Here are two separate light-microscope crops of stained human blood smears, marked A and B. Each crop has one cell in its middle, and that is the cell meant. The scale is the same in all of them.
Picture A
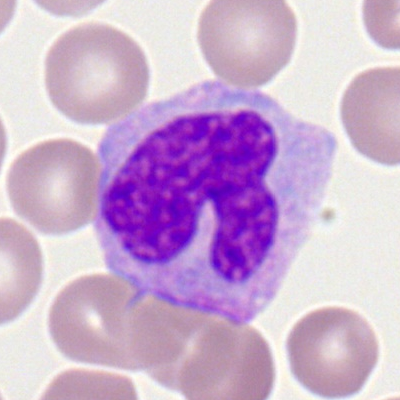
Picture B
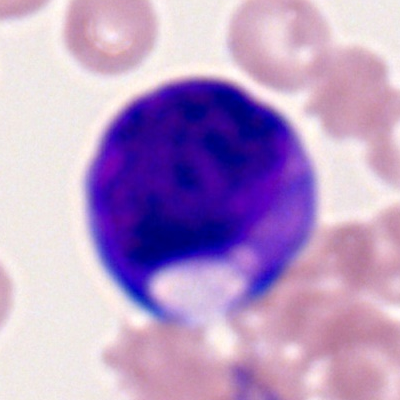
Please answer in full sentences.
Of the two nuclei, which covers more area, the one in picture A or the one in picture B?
The nucleus in picture B is larger, with about 1.5 times the area of the one in picture A.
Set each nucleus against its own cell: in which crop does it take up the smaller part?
In picture A the nucleus takes up the smaller part of its cell.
